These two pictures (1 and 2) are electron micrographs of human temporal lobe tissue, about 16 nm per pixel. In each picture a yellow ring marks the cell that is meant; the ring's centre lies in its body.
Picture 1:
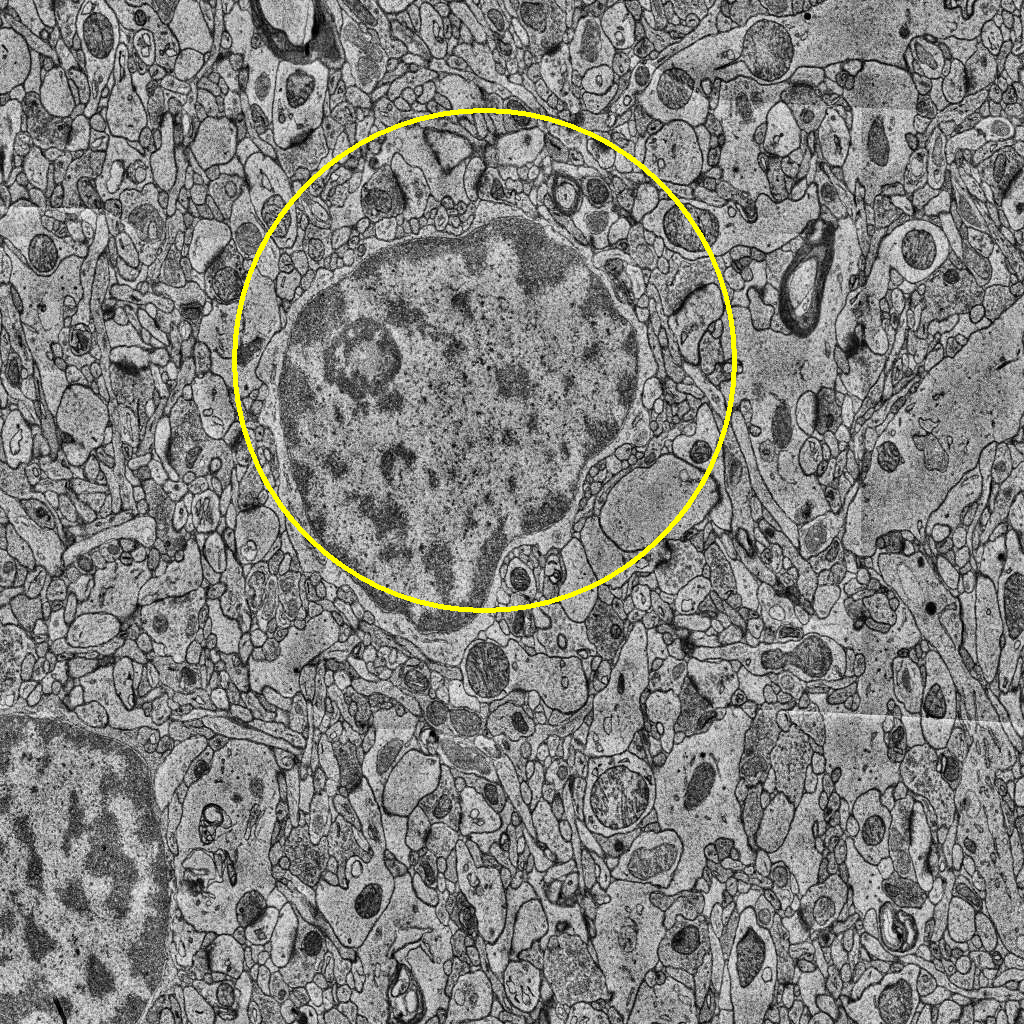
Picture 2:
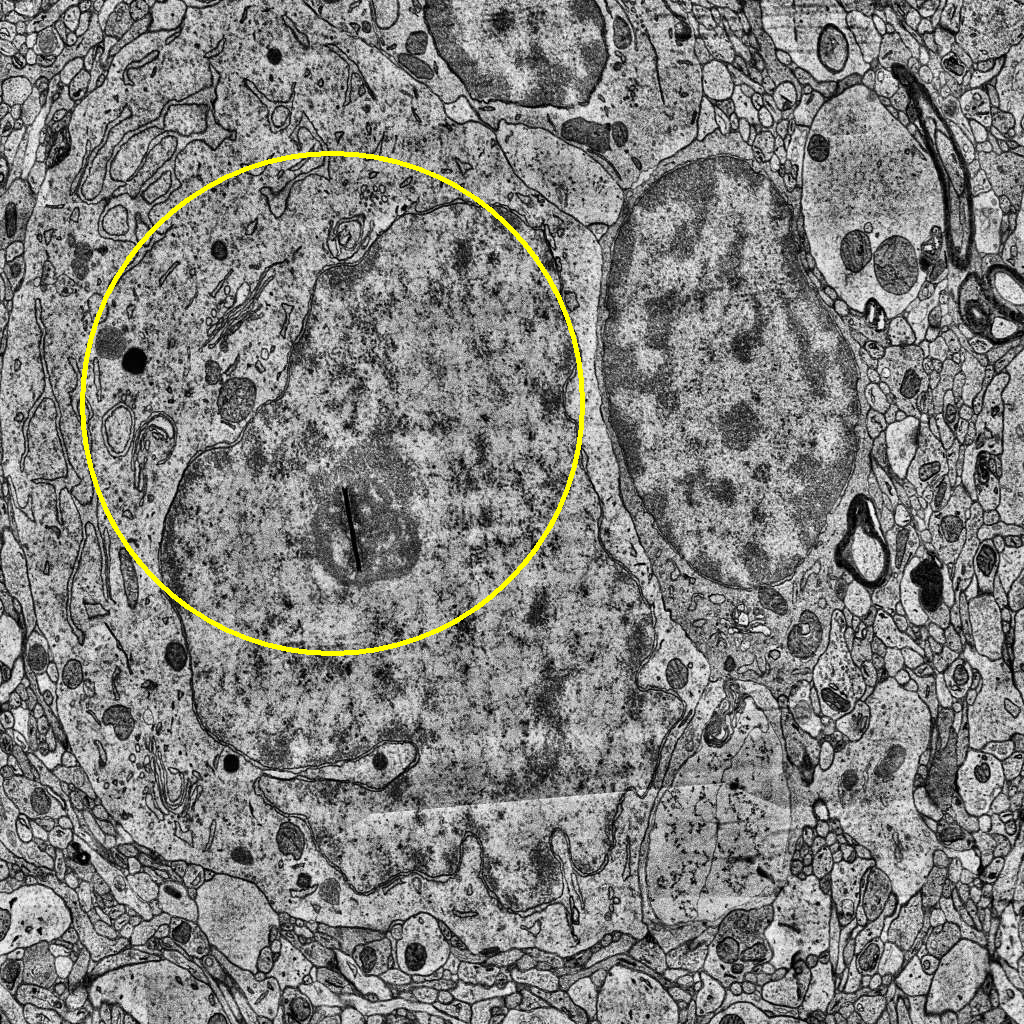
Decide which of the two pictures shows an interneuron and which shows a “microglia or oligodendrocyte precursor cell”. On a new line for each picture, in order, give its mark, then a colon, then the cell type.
1: microglia or oligodendrocyte precursor cell
2: interneuron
